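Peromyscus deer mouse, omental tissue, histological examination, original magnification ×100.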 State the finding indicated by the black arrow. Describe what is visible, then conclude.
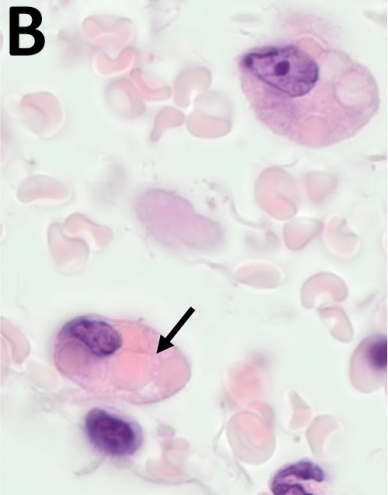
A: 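The arrowed large cell holds rounded pink bodies the size and colour of the free red cells. Its nucleus lies eccentric at one side. Free red cells lie all around the cell.
Conclusion: erythrophagocytosis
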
